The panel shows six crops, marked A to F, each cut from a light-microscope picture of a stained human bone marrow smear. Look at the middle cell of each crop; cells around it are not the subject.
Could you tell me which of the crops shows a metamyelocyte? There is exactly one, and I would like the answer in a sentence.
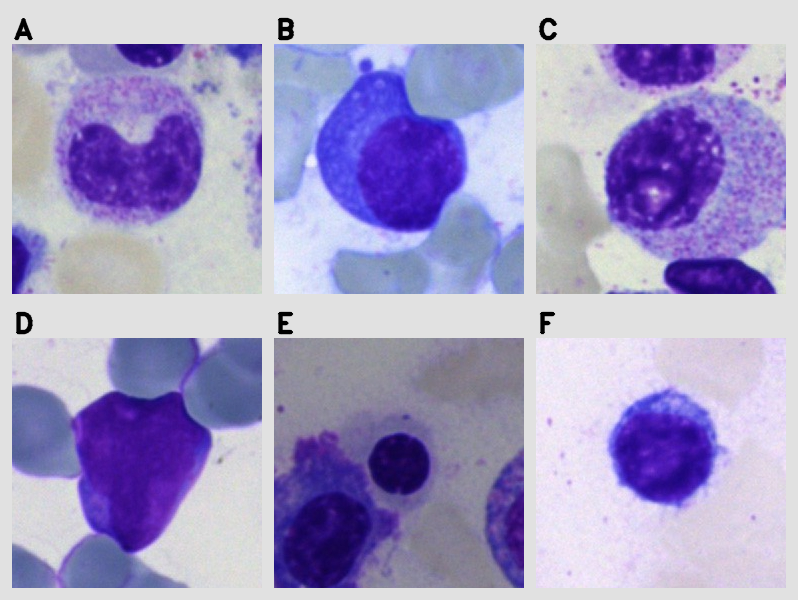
The requested cell, a metamyelocyte, is the one in crop A.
